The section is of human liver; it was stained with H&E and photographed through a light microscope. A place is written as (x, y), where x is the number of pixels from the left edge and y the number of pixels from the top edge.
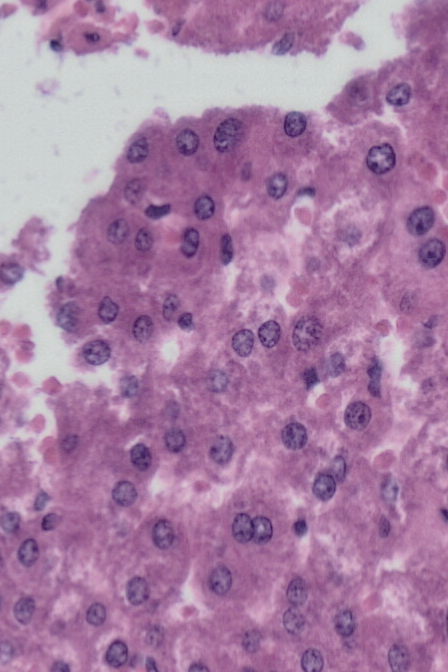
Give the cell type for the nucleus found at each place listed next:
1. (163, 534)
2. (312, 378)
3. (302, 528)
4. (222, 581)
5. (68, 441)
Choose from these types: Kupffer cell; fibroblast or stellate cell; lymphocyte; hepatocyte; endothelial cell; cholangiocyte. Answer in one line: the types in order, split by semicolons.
hepatocyte; endothelial cell; lymphocyte; hepatocyte; hepatocyte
